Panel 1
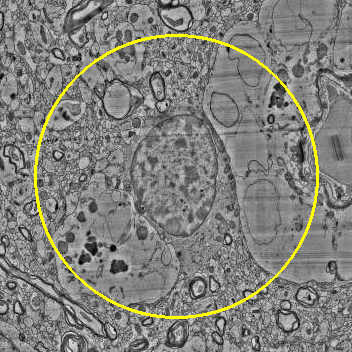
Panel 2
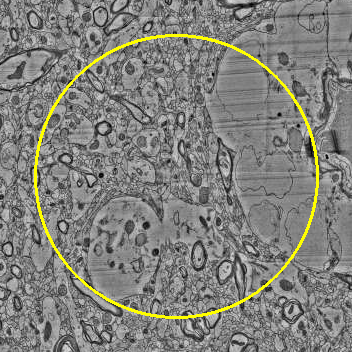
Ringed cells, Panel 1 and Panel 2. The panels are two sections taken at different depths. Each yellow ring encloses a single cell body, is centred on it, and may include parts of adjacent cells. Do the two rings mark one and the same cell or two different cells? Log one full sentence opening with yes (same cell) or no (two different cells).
Yes, the two rings refer to one cell in the tissue.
